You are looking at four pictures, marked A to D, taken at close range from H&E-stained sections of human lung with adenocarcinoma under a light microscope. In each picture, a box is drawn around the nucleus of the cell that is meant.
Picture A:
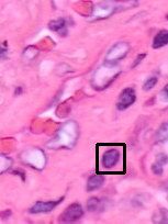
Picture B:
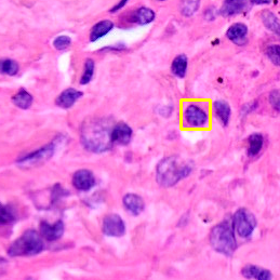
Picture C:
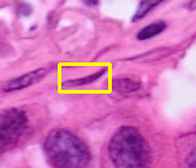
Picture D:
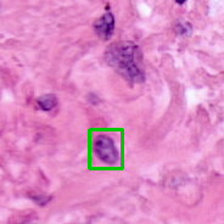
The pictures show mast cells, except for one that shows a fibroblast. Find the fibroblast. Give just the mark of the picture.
C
